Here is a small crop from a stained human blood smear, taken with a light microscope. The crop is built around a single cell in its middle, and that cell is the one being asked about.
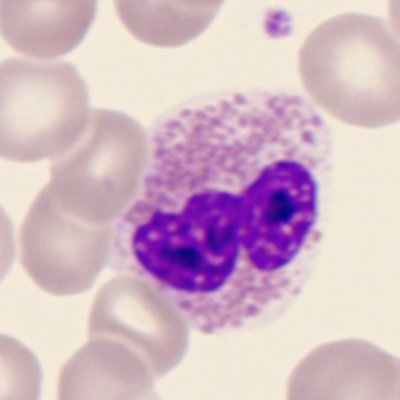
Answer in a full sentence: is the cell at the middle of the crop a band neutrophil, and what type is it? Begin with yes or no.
No; rather than a band neutrophil, the cell at the center is an eosinophil.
